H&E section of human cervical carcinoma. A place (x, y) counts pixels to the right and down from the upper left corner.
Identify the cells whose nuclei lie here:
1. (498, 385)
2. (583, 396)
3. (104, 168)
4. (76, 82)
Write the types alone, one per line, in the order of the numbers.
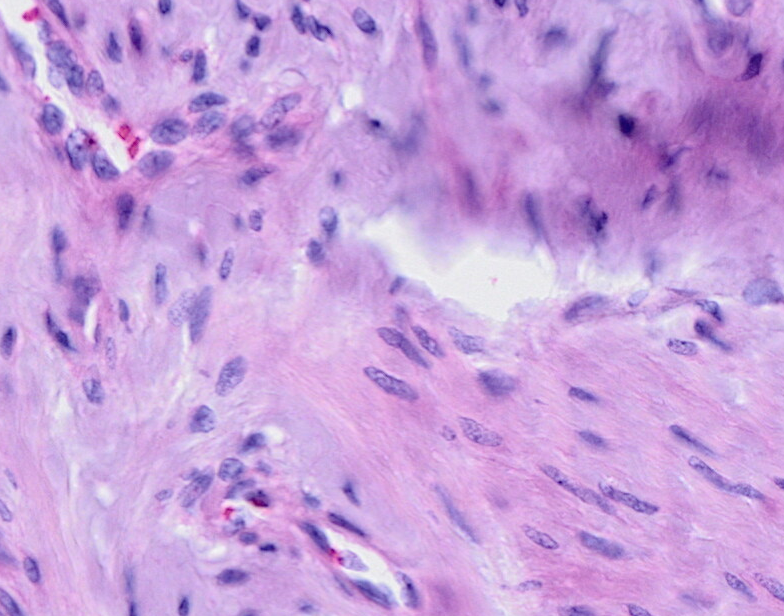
fibroblast
fibroblast
endothelial cell
endothelial cell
